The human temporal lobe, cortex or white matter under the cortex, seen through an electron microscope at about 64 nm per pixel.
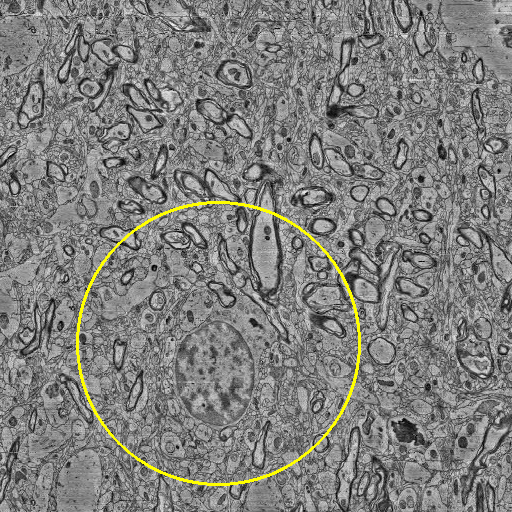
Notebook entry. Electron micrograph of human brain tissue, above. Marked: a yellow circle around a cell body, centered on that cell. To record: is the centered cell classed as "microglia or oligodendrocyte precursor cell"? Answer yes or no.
No, the centered cell belongs to another kind.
